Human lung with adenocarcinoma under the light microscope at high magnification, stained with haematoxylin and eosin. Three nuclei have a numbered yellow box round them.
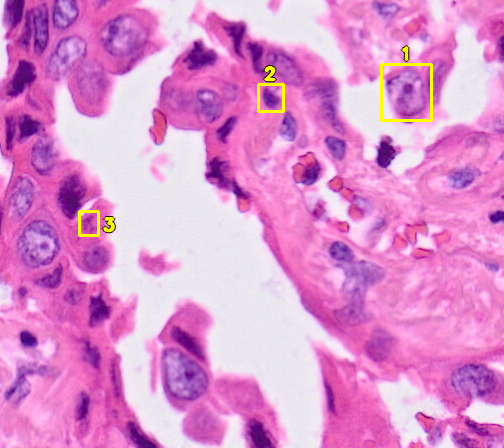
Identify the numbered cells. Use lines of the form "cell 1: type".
cell 1: carcinoma cell
cell 2: lymphocyte
cell 3: carcinoma cell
